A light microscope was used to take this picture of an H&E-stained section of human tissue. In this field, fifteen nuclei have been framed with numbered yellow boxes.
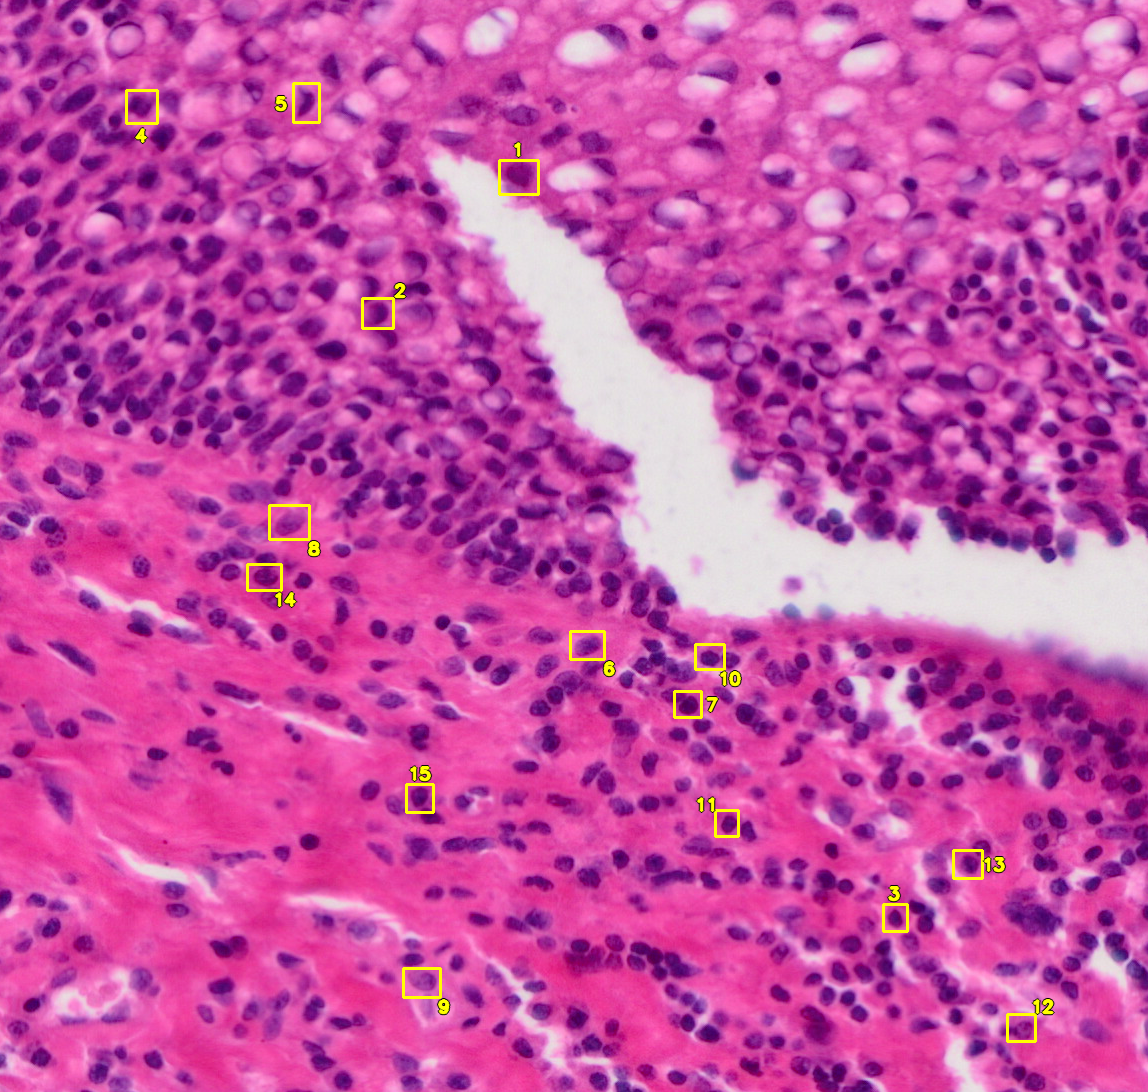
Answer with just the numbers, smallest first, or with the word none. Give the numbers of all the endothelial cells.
6, 8, 9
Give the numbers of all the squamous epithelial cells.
1, 2, 4, 5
